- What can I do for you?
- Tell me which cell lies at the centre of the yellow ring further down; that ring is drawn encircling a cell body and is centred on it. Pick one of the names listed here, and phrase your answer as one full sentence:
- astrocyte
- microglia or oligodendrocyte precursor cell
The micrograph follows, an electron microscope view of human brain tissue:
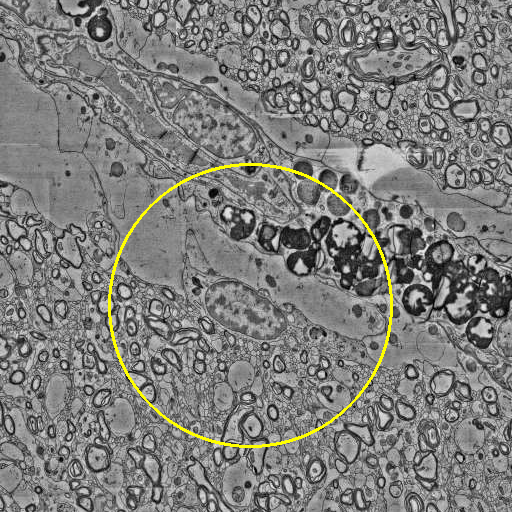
The cell whose body lies at the centre of the yellow ring is a microglial cell or oligodendrocyte precursor cell.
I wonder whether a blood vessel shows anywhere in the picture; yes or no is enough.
Yes, the image shows a blood vessel.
